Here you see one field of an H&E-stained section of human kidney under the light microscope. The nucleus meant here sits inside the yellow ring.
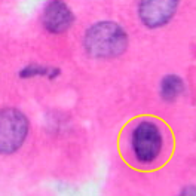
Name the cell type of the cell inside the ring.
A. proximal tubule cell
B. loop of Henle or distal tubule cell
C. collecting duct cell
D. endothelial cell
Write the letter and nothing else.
A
